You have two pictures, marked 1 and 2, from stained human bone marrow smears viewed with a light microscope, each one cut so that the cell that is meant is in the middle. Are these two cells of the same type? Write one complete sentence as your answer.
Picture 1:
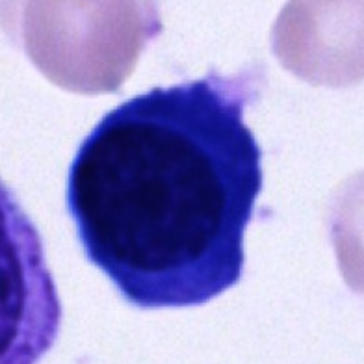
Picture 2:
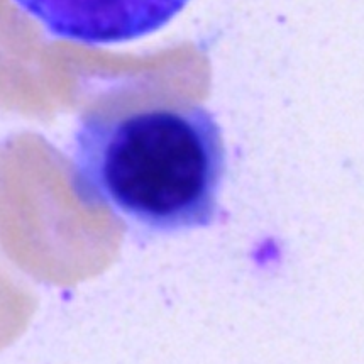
No, they differ: the cell is a plasma cell in picture 1 and an erythroblast in picture 2.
